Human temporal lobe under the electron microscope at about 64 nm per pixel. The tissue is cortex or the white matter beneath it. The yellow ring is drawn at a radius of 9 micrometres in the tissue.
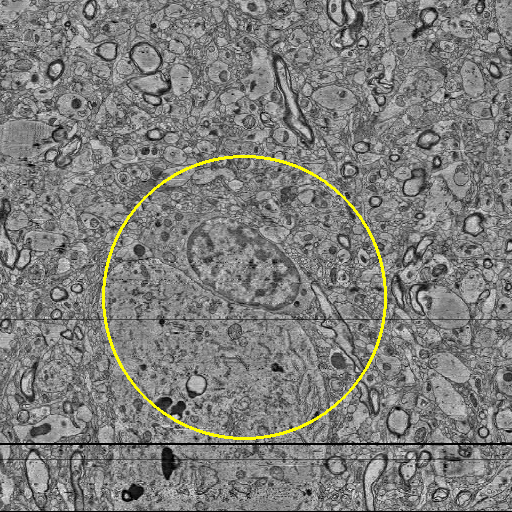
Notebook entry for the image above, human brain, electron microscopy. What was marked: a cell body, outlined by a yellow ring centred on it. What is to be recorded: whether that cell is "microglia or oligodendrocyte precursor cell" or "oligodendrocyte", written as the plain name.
oligodendrocyte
